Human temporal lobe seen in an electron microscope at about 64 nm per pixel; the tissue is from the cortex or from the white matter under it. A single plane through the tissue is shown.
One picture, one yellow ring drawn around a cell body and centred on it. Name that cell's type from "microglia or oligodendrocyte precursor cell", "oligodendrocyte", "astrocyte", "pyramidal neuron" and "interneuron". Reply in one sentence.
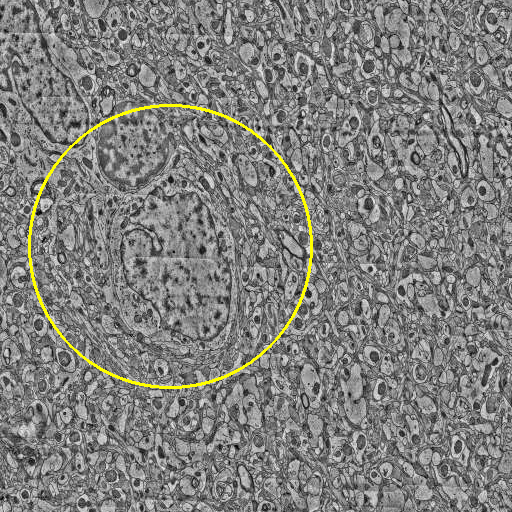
Centred in the ring is an interneuron.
